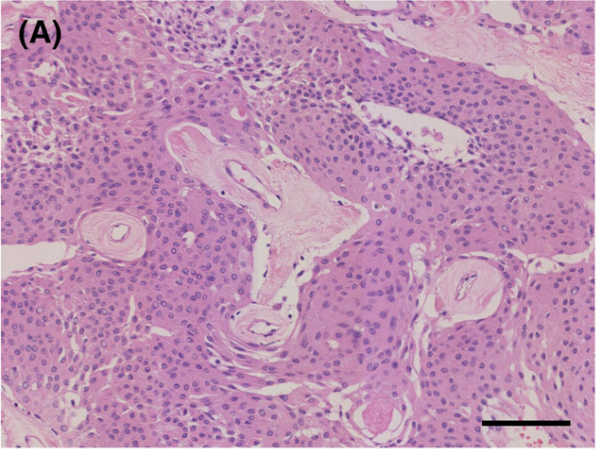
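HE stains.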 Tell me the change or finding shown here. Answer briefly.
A: Meningothelial meningioma.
